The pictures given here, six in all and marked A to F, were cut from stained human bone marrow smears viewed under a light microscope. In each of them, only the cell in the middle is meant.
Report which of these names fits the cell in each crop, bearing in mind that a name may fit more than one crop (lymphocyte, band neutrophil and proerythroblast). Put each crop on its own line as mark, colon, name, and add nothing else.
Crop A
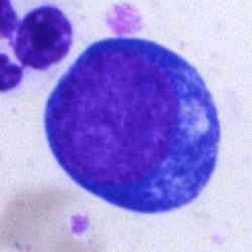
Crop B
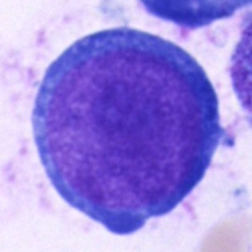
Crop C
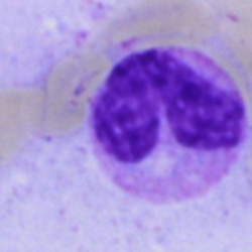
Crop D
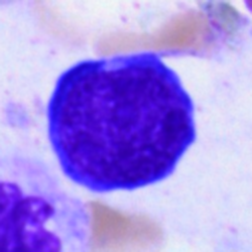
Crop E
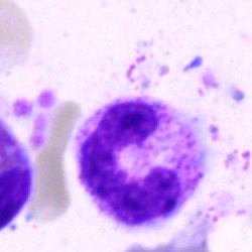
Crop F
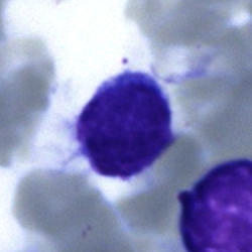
A: proerythroblast
B: proerythroblast
C: band neutrophil
D: proerythroblast
E: band neutrophil
F: lymphocyte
